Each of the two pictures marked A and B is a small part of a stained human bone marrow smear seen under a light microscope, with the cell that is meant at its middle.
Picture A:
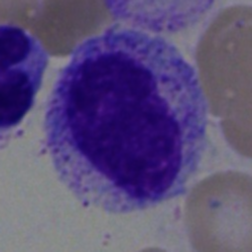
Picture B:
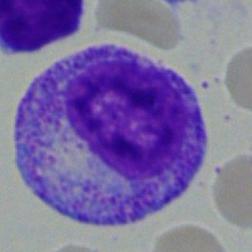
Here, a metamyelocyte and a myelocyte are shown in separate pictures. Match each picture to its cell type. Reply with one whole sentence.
Picture A is of a metamyelocyte, and picture B is of a myelocyte.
